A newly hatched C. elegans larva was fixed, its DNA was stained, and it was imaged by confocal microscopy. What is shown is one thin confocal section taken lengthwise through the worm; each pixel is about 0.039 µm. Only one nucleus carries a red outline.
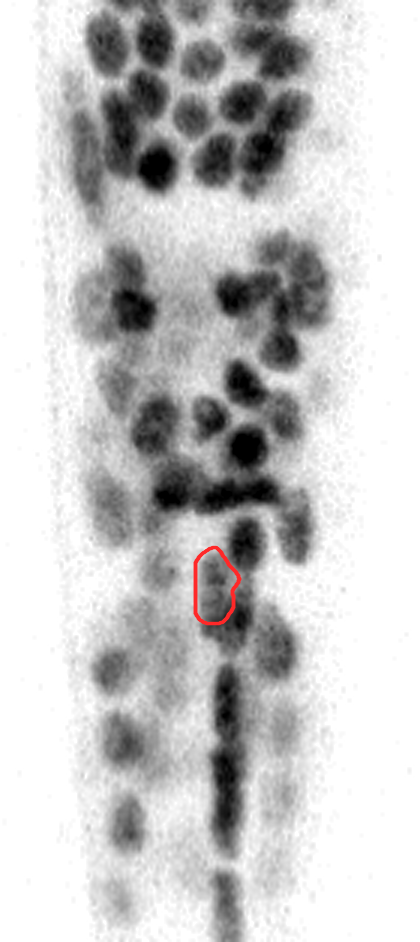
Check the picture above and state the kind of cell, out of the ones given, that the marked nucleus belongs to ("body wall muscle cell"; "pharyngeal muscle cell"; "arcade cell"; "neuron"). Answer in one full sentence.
The cell with the marked nucleus is a pharyngeal muscle cell.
